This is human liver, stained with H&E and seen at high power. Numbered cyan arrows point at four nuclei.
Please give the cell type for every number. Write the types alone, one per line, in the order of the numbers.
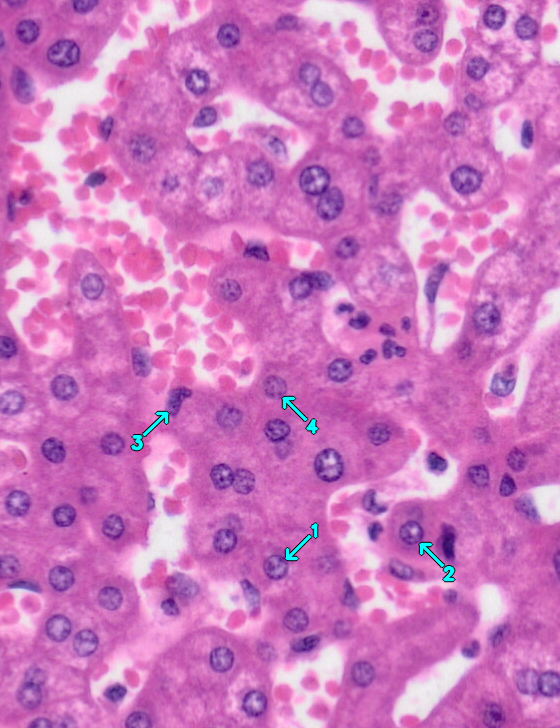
hepatocyte
hepatocyte
fibroblast or stellate cell
hepatocyte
